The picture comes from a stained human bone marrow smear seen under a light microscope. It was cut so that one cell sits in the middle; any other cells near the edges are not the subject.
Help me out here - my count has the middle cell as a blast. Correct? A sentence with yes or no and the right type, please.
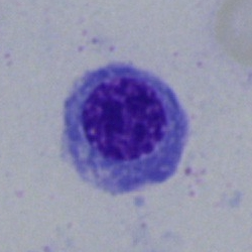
No, the cell at the center of this crop is an erythroblast instead of a blast.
